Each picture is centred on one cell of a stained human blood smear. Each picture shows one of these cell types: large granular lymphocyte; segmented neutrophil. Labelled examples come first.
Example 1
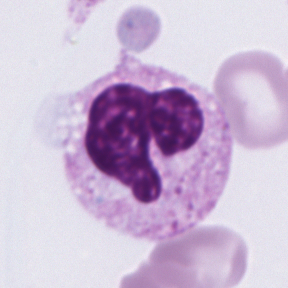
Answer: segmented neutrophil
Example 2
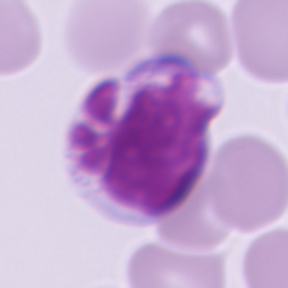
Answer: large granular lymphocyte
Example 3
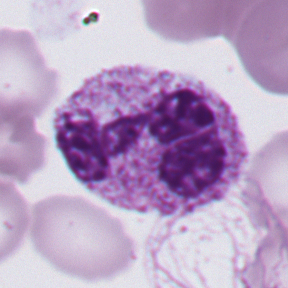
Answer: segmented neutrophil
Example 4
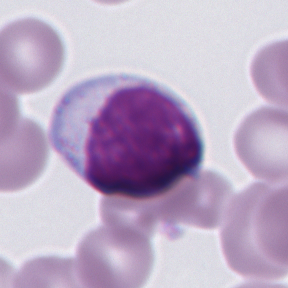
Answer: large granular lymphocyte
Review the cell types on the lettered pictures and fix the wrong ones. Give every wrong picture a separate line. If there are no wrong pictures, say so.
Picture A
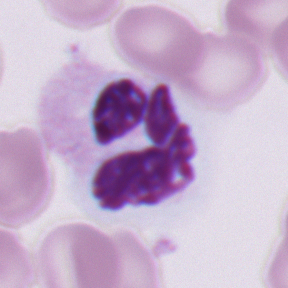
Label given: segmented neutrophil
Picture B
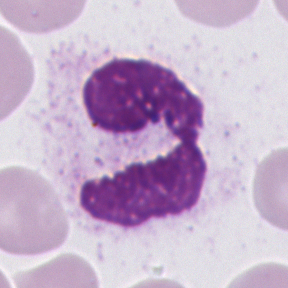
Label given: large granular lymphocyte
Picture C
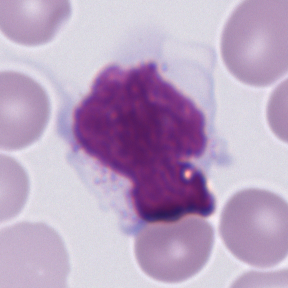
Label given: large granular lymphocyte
B: segmented neutrophil, not large granular lymphocyte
